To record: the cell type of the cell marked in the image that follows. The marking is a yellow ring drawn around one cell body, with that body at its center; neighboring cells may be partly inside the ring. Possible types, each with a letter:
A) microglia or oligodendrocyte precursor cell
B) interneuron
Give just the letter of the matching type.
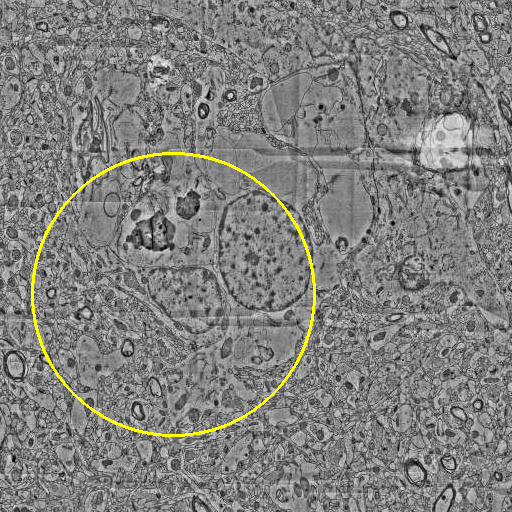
A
